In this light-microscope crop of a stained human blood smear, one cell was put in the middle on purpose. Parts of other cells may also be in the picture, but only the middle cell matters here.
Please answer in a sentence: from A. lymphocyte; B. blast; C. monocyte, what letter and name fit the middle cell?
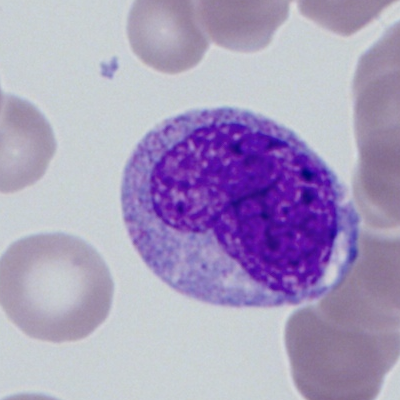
The cell at the centre, correctly named in option C, is a monocyte.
